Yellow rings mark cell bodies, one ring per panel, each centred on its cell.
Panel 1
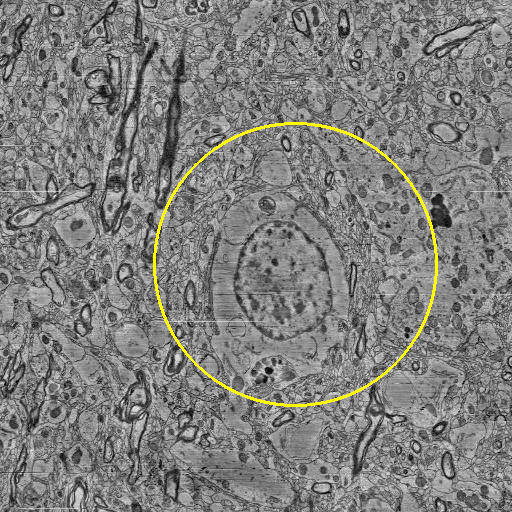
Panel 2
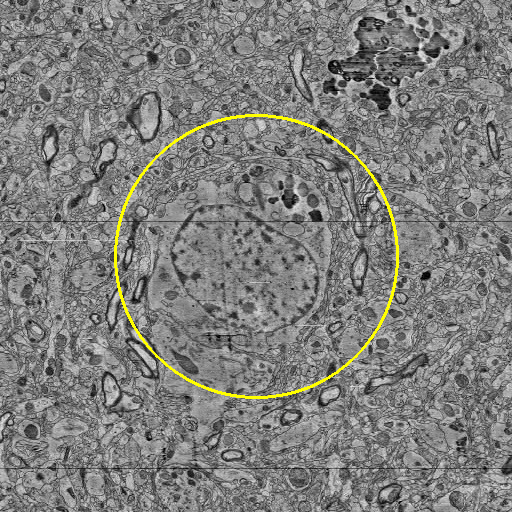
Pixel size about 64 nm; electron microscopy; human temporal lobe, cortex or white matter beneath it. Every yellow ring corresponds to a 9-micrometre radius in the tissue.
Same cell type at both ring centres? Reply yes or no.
yes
